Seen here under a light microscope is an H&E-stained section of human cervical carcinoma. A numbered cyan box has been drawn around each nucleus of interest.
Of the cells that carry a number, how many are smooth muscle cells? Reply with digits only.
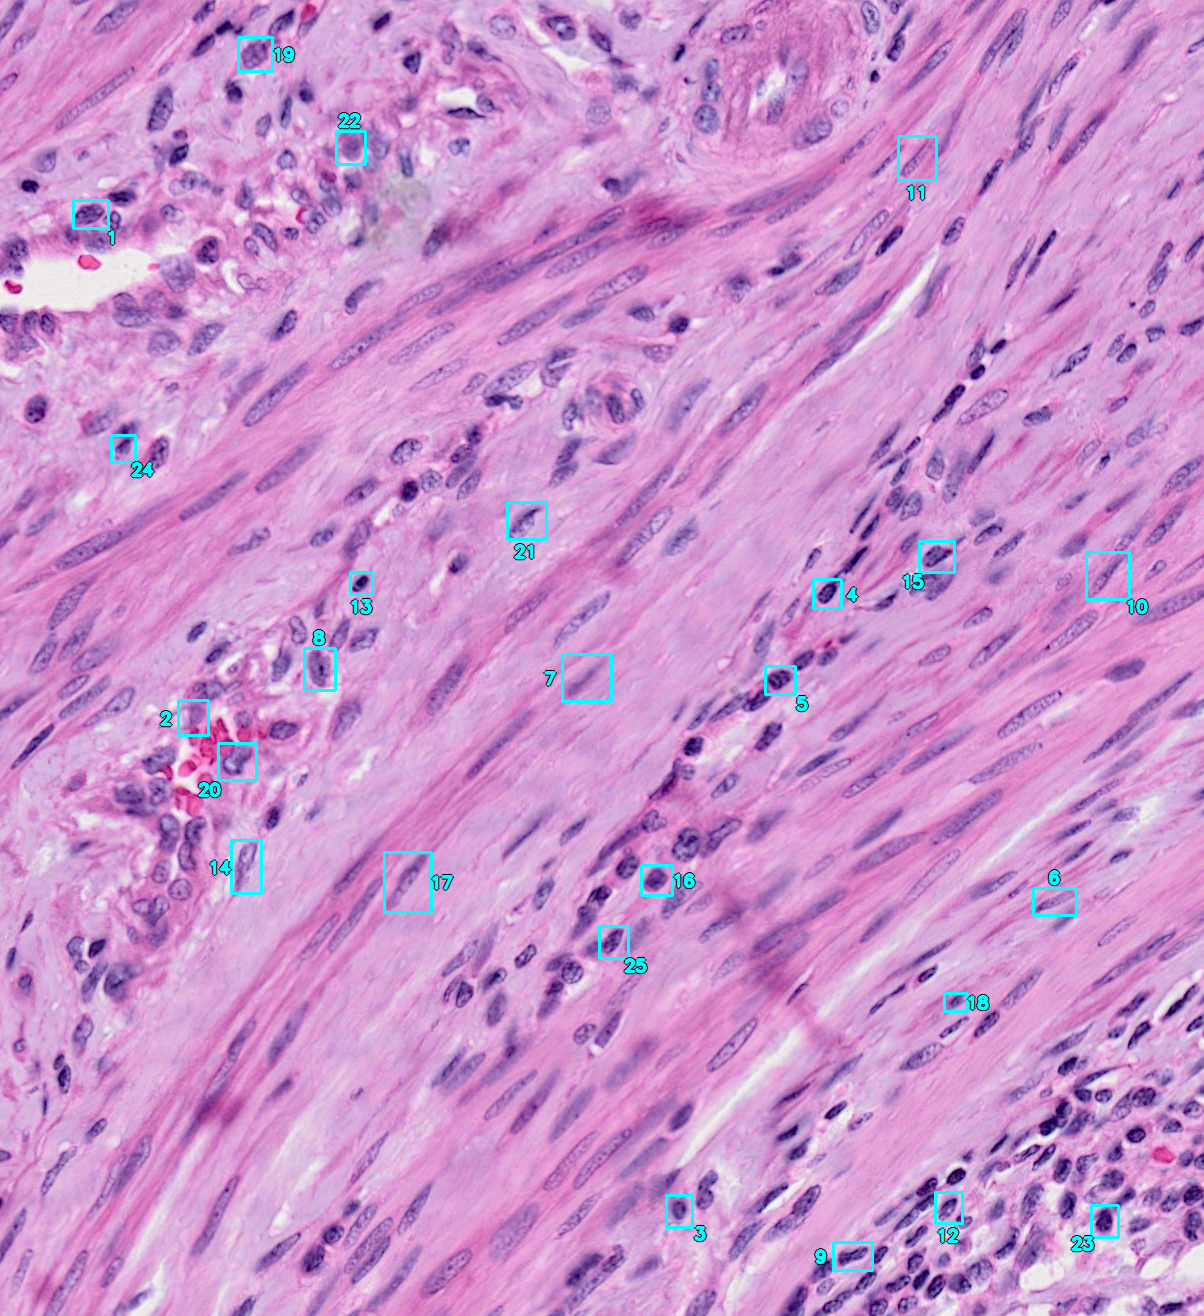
6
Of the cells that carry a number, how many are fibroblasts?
2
